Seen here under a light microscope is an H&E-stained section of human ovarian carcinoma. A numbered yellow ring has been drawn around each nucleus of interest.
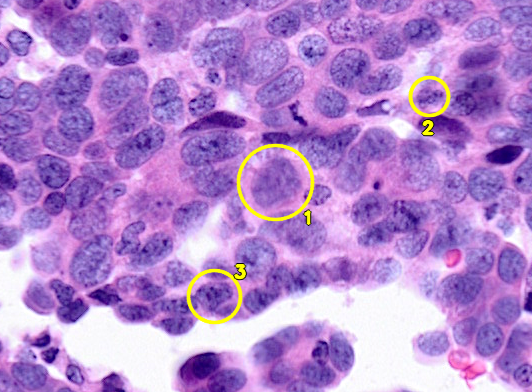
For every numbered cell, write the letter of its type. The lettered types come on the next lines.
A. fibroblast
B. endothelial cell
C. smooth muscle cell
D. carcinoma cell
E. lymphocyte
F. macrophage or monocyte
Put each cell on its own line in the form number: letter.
1: D
2: F
3: D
